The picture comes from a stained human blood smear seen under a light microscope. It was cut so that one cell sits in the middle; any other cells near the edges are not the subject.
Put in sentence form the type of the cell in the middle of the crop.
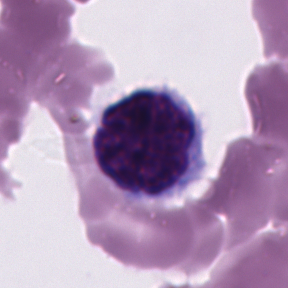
The cell featured at the centre of this crop is a hairy cell.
